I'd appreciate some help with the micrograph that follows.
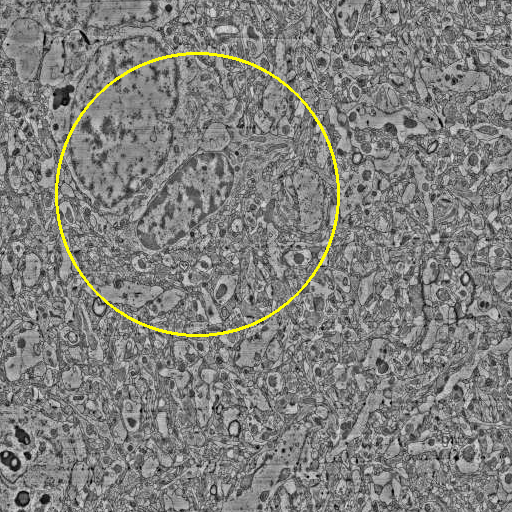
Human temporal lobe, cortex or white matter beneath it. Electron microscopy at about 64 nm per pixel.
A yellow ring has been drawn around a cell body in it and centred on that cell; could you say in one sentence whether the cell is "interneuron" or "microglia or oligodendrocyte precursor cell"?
It is a microglial cell or oligodendrocyte precursor cell at the centre of the ring.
